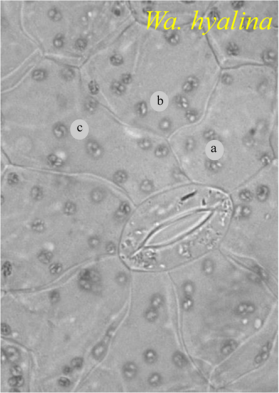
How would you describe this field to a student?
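Surface view of the epidermis of a duckweed frond, with large polygonal epidermis cells whose walls run rather straight and meet edge to edge. The cells contain many small round granular bodies scattered through them. In the lower right lies an elliptic stoma, two curved guard cells enclosing a narrow slit-like pore.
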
